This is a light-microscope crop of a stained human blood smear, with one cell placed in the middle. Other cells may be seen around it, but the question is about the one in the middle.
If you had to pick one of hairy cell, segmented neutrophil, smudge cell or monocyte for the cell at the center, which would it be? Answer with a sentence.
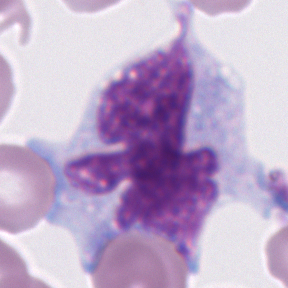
In this smear crop, the middle cell is a monocyte.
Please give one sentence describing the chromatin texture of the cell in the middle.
The chromatin pattern is fine and free of coarse clumps.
